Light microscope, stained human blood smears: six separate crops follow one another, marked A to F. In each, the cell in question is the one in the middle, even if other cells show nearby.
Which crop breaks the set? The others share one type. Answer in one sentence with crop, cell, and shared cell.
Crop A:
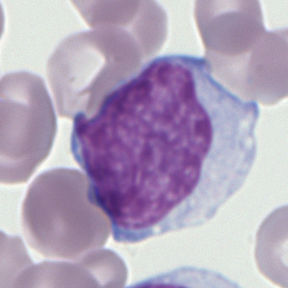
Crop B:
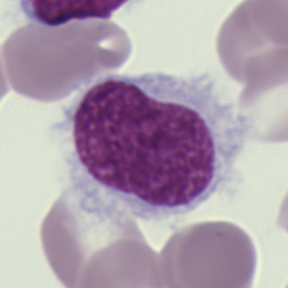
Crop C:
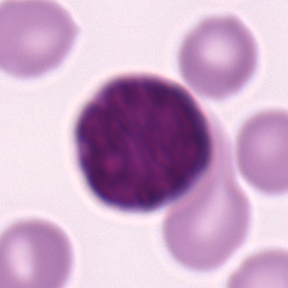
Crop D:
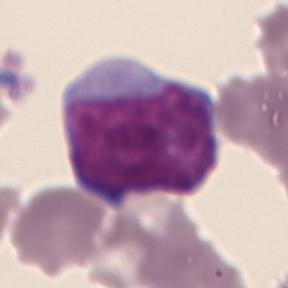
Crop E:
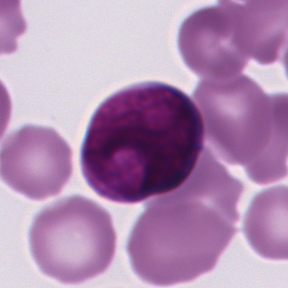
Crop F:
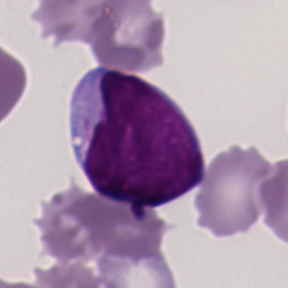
All of the other crops show myeloblasts; crop B, by contrast, is a hairy cell.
